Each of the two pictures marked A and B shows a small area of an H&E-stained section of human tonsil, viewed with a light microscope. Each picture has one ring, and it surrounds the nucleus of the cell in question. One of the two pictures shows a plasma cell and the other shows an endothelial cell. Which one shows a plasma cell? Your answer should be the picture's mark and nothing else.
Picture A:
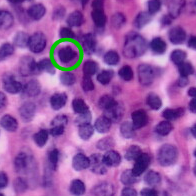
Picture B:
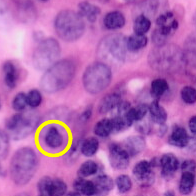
A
